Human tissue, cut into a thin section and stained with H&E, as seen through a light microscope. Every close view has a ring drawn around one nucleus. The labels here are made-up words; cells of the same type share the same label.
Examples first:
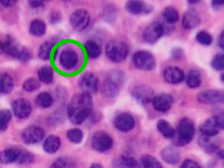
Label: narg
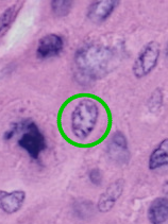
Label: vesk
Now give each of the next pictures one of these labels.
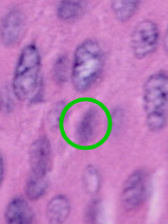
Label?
vesk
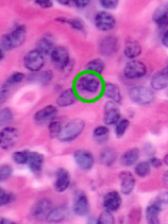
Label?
narg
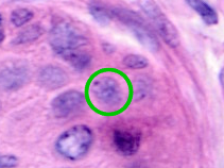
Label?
vesk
